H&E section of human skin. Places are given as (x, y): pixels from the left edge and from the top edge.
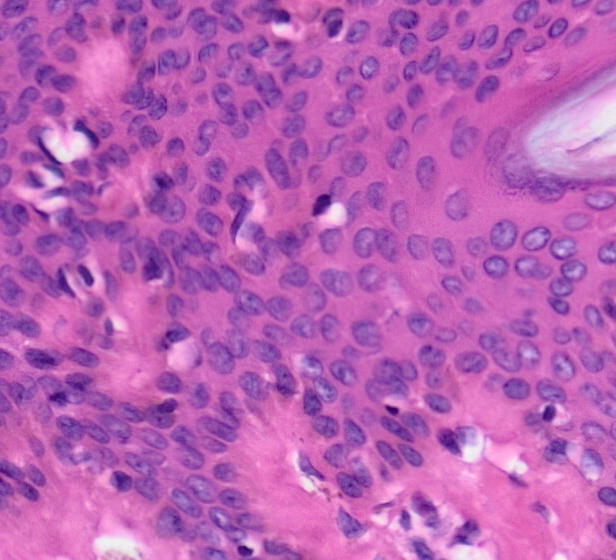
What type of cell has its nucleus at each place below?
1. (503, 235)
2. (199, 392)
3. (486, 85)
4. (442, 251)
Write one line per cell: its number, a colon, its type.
1: suprabasal keratinocyte
2: basal keratinocyte
3: suprabasal keratinocyte
4: suprabasal keratinocyte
